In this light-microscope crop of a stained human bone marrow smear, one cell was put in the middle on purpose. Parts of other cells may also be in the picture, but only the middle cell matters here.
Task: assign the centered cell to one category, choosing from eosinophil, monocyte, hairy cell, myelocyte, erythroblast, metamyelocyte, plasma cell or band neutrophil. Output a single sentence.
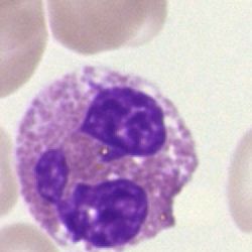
The central element of this crop is a cell, namely an eosinophil.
